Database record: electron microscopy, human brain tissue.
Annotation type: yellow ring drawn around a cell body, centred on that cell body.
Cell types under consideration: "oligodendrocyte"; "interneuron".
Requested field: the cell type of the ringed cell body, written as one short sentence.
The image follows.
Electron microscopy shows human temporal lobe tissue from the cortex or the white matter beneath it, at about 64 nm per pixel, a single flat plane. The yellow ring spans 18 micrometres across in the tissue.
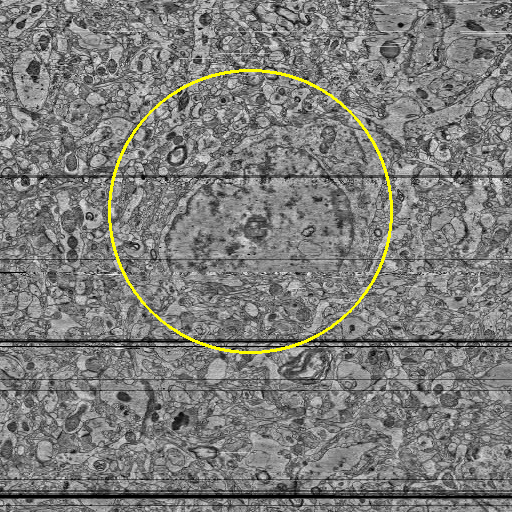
The ringed cell body represents an interneuron.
